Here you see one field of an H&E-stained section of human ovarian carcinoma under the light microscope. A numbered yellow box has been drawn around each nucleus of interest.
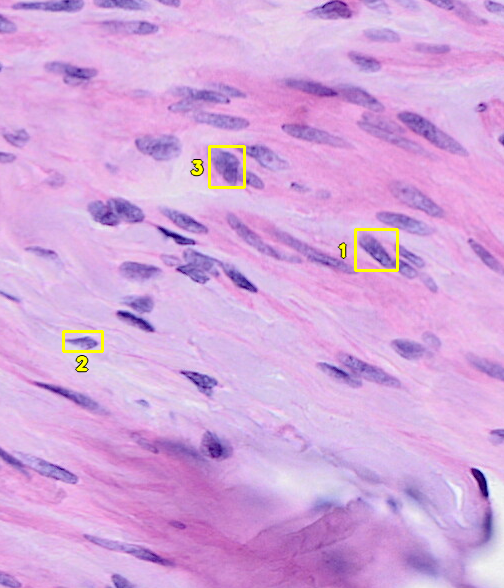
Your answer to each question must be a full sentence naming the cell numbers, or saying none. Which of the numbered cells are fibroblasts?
Only cell 2 should be marked as a fibroblast.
